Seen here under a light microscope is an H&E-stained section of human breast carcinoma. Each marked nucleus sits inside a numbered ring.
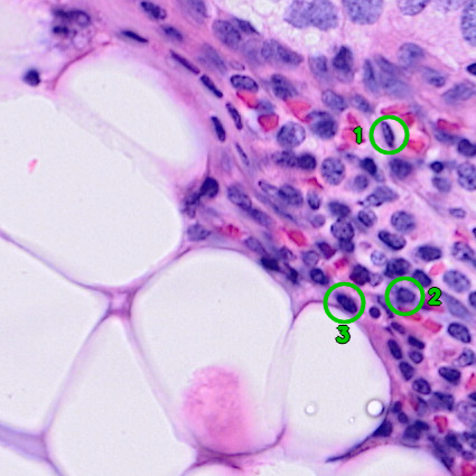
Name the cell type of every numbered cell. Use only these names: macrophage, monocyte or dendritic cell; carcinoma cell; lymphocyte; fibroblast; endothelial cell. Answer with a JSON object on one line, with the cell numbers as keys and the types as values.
{"1": "endothelial cell", "2": "lymphocyte", "3": "lymphocyte"}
